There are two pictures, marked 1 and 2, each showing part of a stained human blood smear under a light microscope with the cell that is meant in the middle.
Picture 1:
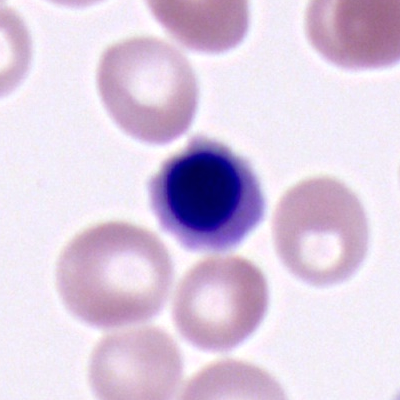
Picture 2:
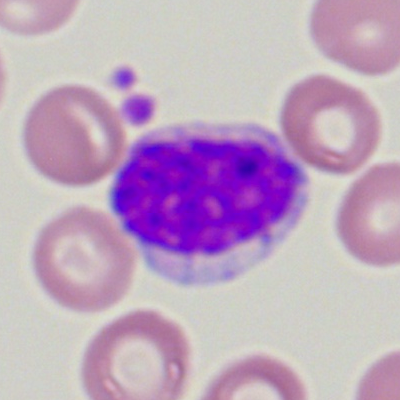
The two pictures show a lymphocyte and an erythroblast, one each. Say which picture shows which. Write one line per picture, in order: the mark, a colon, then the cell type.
1: erythroblast
2: lymphocyte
